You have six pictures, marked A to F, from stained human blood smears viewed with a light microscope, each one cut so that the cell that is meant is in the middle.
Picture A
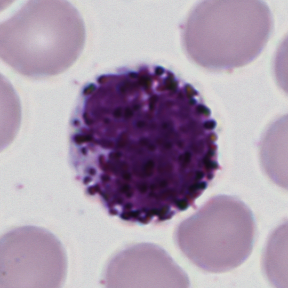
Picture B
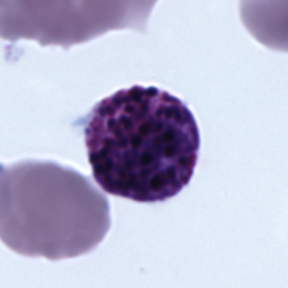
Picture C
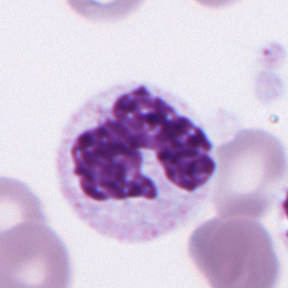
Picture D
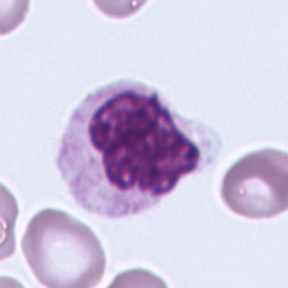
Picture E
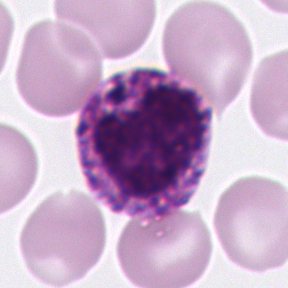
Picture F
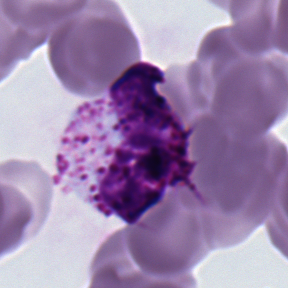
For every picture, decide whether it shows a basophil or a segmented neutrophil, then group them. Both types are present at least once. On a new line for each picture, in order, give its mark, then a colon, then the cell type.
A: basophil
B: basophil
C: segmented neutrophil
D: segmented neutrophil
E: basophil
F: basophil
